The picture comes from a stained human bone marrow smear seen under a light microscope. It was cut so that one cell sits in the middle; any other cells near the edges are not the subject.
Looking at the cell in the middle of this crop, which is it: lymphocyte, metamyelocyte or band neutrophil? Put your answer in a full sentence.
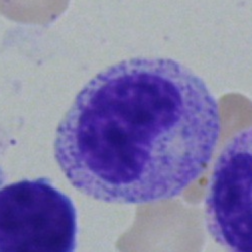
Centrally within this crop lies a metamyelocyte.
